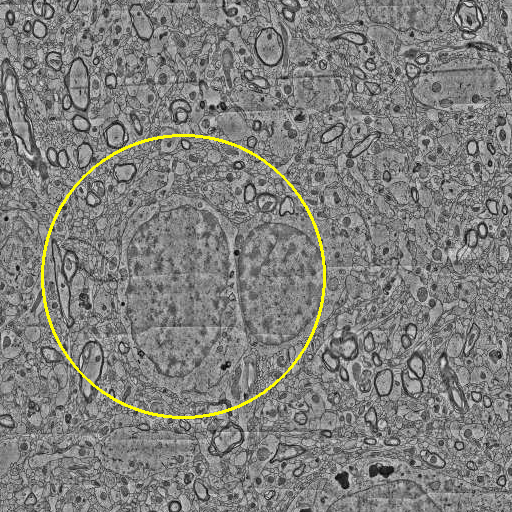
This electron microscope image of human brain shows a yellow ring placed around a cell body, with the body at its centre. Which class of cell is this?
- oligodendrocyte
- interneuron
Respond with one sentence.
The cell body at the ring's centre is an interneuron.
